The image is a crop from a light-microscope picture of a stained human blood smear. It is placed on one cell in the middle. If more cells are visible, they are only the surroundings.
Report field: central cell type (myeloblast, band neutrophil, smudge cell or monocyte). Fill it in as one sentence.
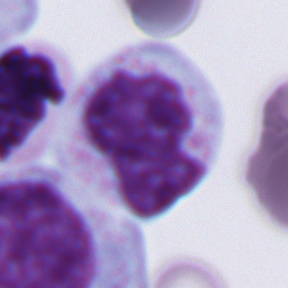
The target cell in the middle of the crop is a band neutrophil.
